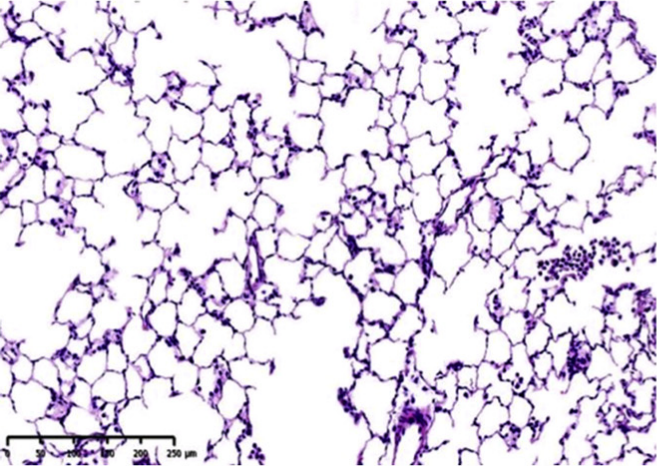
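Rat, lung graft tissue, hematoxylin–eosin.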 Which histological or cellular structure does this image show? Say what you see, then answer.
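Alveoli. Many polygonal, clear air spaces fill the field. The spaces are separated by thin purple septa with scattered nuclei.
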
